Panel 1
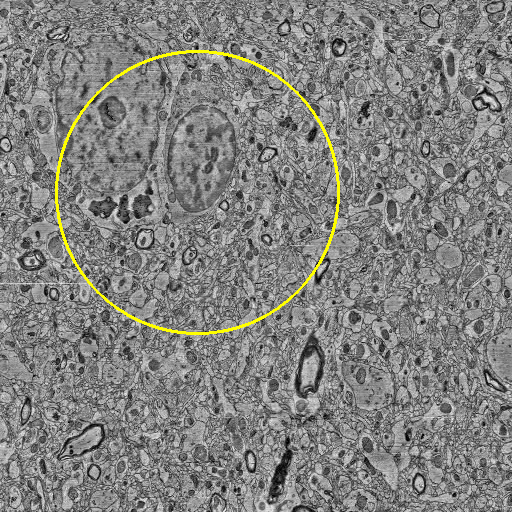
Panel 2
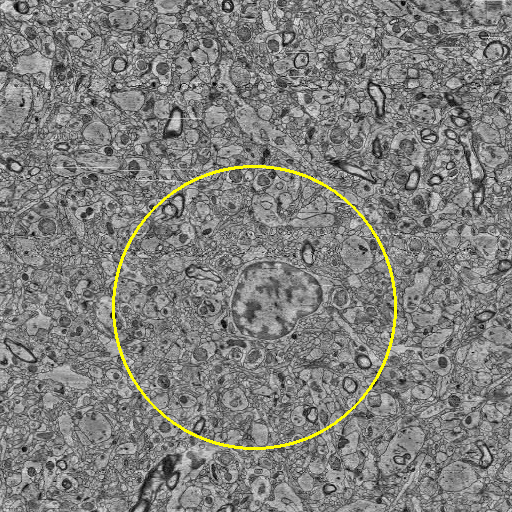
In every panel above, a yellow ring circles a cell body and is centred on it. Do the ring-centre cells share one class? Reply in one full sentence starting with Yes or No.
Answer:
No, the two cells at the ring centres in the panels belong to two classes.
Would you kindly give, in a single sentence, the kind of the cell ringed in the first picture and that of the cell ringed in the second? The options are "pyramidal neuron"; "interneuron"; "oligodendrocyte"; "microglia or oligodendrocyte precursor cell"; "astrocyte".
The second cell is a microglial cell or oligodendrocyte precursor cell, and the first cell is an oligodendrocyte.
